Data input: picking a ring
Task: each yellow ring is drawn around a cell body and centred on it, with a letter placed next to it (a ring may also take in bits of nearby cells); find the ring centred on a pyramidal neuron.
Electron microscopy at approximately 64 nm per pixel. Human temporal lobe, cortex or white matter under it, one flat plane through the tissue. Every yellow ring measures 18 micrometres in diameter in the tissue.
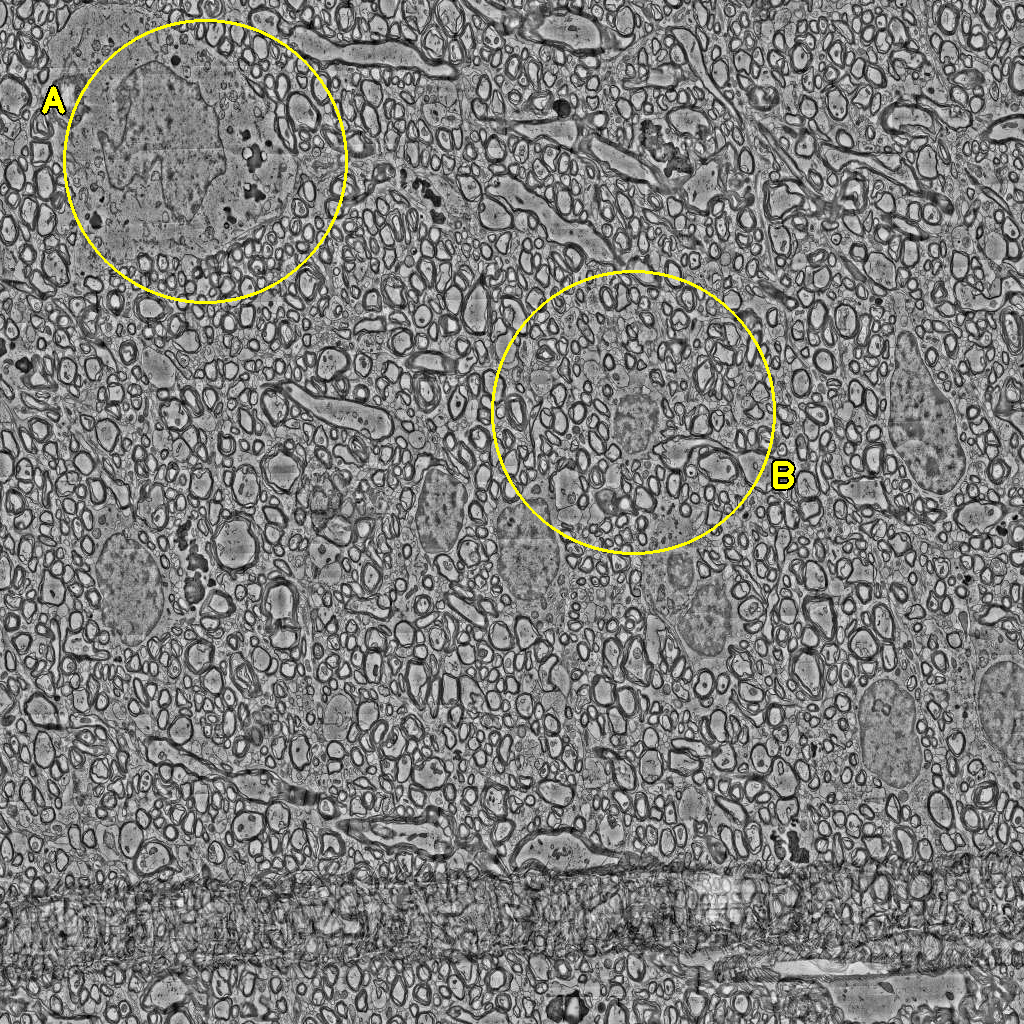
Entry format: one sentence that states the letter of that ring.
In the picture, the cell asked for sits at the centre of ring A.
